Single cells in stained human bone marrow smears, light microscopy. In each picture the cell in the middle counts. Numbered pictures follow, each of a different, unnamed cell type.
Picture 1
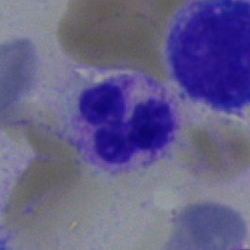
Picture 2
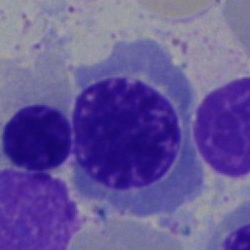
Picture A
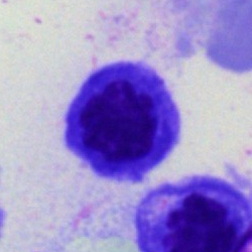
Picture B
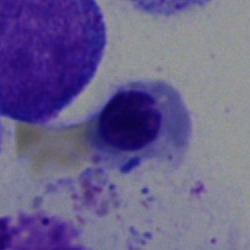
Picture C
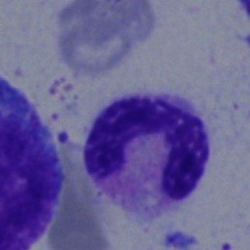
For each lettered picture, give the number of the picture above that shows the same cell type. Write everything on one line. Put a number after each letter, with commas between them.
A 2, B 2, C 1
